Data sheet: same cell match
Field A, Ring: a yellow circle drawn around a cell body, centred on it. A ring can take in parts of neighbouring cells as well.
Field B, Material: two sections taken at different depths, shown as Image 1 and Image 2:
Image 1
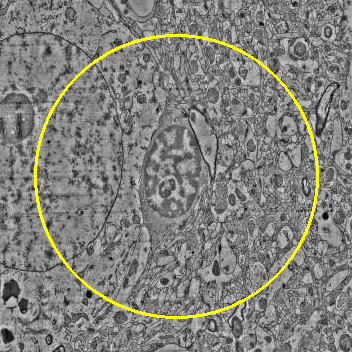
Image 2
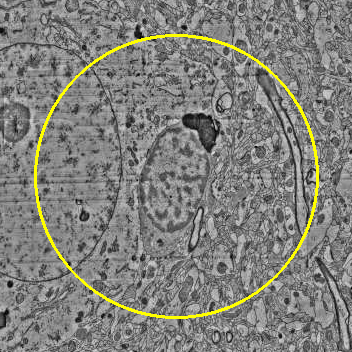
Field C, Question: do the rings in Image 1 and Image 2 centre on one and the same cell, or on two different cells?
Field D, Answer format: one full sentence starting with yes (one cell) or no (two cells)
Yes, the same cell appears within both yellow rings.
